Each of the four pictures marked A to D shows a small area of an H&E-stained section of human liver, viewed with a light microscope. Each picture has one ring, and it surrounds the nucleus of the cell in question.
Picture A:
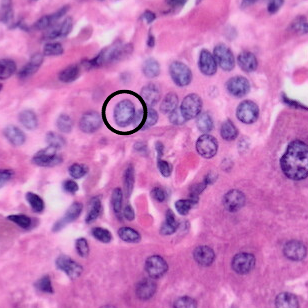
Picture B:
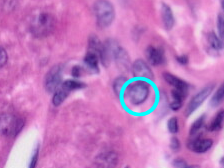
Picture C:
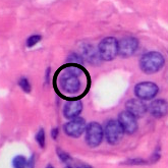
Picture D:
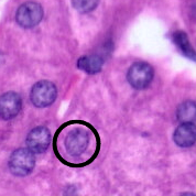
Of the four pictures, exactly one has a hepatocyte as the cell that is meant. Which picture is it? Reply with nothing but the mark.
D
